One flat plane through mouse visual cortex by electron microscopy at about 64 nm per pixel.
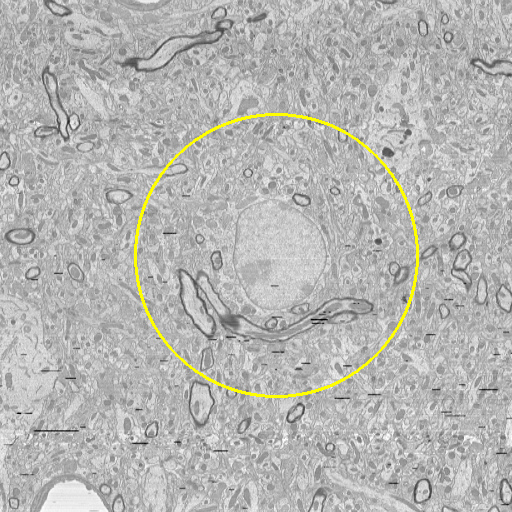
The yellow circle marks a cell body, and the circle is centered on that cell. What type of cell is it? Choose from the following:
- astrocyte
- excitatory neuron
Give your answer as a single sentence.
This cell body belongs to an astrocyte.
